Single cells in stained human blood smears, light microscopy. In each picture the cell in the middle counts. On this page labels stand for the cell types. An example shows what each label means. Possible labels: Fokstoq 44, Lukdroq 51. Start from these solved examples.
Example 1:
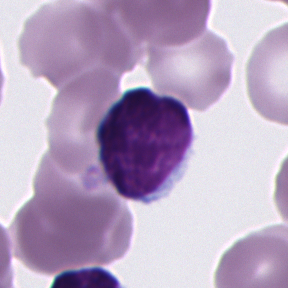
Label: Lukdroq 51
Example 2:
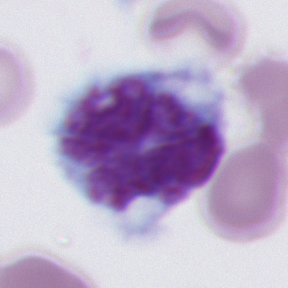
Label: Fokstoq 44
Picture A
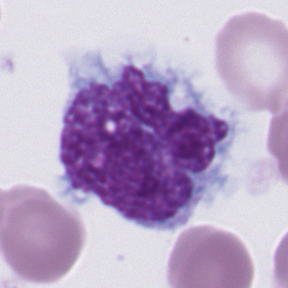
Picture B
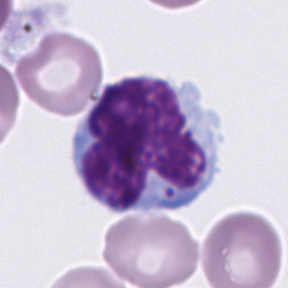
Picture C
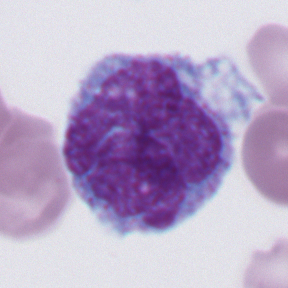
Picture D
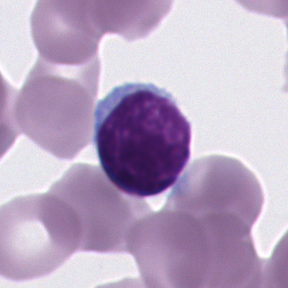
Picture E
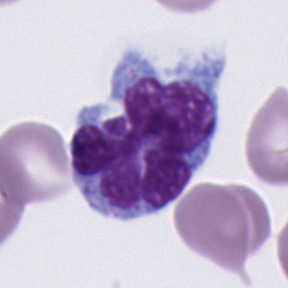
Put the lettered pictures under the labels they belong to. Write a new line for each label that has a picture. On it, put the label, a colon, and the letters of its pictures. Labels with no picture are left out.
Fokstoq 44: A, B, C, E
Lukdroq 51: D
